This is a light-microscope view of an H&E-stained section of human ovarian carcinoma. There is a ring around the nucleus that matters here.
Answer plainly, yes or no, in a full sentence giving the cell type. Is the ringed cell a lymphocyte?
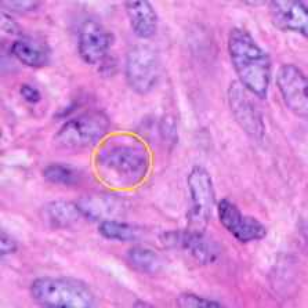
No, it is not as a lymphocyte but as a fibroblast that the ringed cell is classed.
